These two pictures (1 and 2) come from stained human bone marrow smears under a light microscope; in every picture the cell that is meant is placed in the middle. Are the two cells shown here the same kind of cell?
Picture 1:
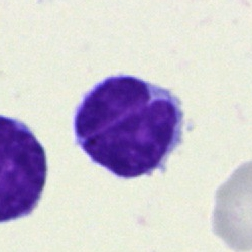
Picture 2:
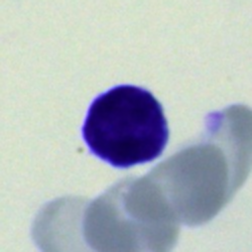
yes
